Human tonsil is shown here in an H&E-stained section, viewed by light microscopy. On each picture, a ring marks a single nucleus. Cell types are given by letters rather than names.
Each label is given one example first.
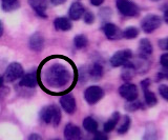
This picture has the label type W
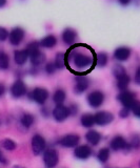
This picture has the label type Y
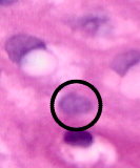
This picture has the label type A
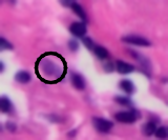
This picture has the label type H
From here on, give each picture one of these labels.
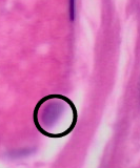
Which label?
type H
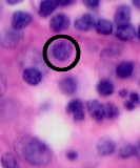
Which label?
type H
